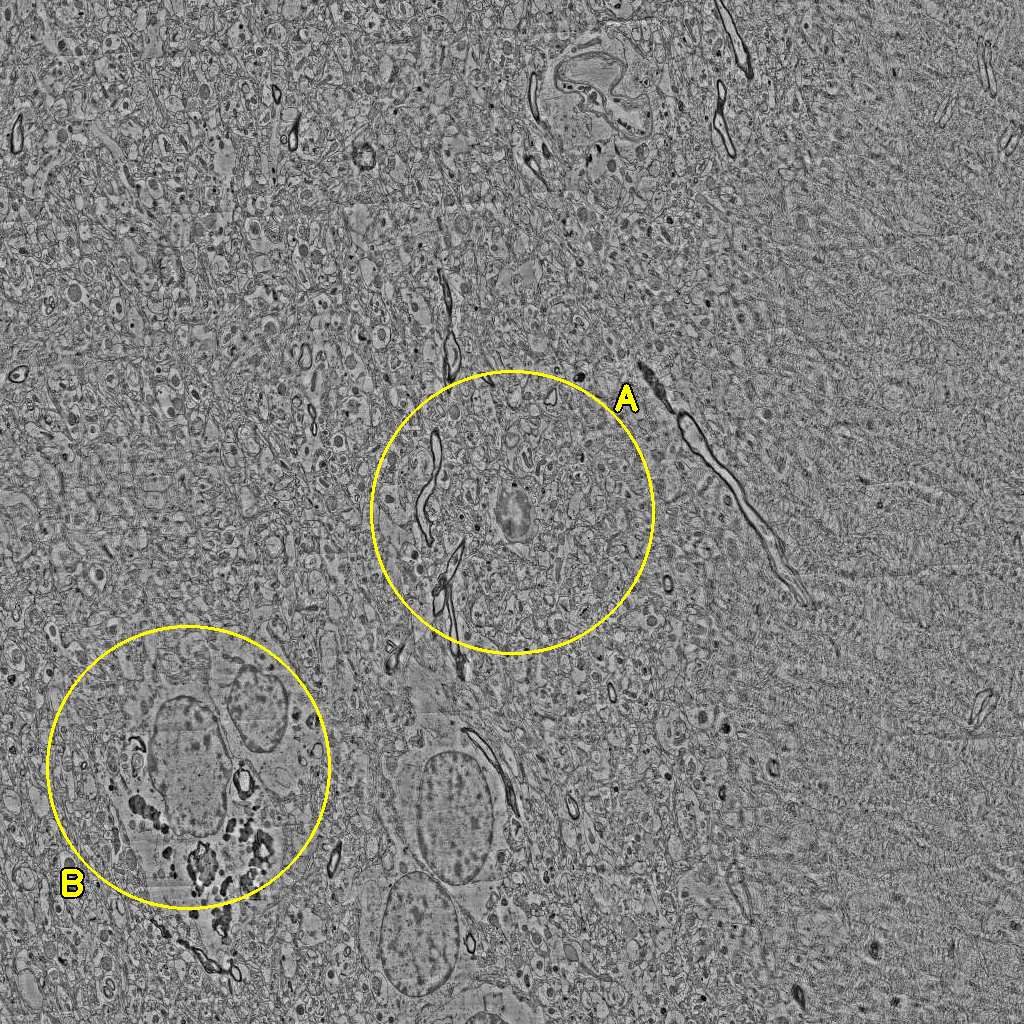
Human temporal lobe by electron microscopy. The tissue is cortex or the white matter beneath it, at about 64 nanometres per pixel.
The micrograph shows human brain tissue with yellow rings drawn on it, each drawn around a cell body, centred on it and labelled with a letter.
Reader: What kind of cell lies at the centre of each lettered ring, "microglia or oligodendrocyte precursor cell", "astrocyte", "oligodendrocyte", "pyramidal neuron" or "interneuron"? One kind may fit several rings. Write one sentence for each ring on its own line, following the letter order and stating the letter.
At the centre of ring A lies an oligodendrocyte.
At the centre of ring B lies an astrocyte.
